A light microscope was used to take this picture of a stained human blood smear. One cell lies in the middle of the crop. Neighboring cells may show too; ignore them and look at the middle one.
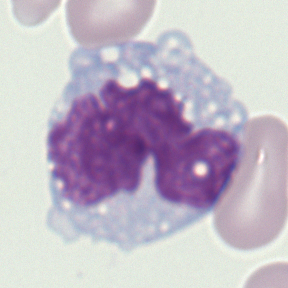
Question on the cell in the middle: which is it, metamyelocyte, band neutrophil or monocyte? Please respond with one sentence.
This crop's central cell is a monocyte.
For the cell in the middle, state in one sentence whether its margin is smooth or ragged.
Irregular and not smooth, the cell boundary is ragged or drawn out into projections.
